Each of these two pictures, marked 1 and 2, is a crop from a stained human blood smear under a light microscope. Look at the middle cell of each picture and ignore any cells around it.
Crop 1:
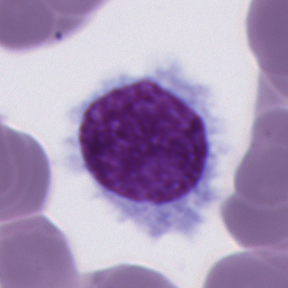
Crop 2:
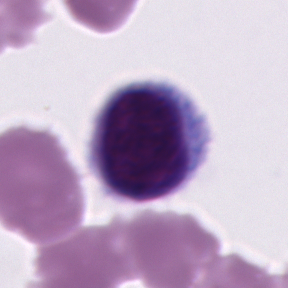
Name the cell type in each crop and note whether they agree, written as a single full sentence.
Yes, hairy cells are the cells shown in both crops.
